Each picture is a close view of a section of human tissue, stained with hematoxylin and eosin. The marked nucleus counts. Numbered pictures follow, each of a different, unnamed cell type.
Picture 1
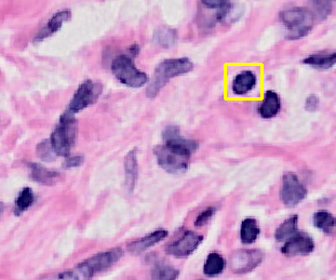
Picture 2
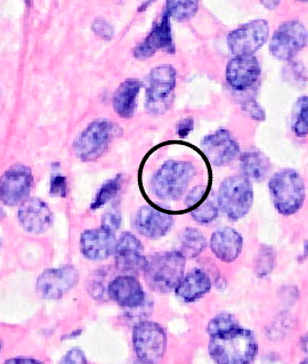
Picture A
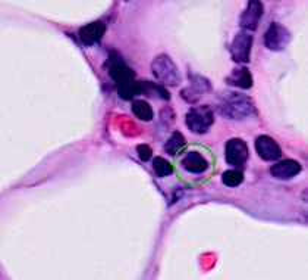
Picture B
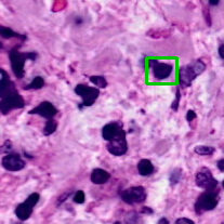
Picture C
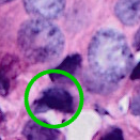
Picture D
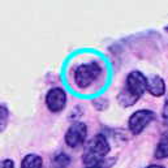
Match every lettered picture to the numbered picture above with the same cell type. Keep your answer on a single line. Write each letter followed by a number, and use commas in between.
A 1, B 1, C 2, D 1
